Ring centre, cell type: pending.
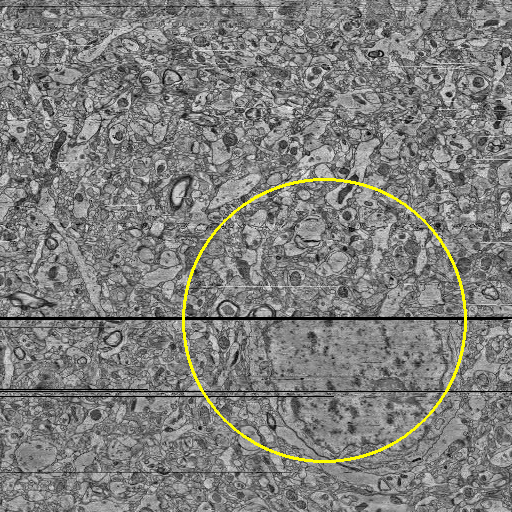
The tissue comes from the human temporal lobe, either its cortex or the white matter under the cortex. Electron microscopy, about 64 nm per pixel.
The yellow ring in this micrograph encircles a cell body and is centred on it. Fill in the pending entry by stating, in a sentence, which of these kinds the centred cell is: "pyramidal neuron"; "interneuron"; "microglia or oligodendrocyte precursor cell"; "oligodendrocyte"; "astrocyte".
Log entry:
The centred cell is recorded as an interneuron.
